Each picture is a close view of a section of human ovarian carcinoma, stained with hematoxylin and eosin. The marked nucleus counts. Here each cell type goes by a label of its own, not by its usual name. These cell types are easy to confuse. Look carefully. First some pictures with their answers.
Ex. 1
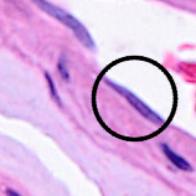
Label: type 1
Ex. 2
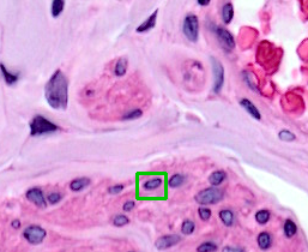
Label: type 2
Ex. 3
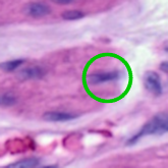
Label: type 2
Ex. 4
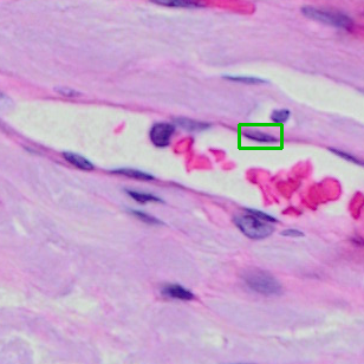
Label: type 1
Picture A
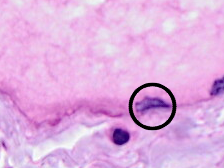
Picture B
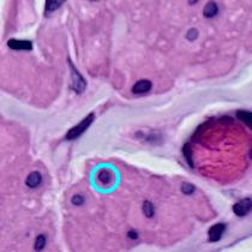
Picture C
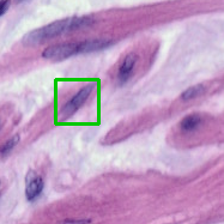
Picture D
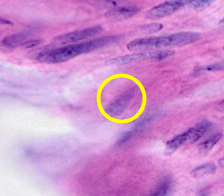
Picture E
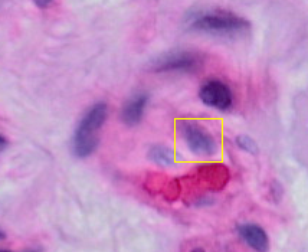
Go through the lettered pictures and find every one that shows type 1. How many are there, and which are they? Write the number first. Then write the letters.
2: A, E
